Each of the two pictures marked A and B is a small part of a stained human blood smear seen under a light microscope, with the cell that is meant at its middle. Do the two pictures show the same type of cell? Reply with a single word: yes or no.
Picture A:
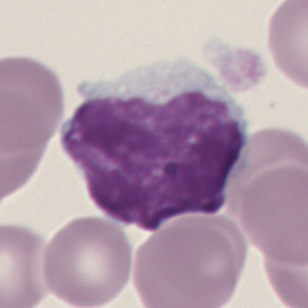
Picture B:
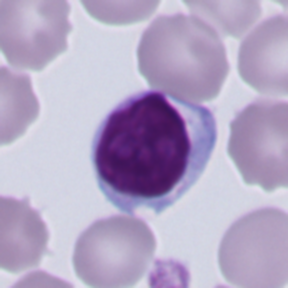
yes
